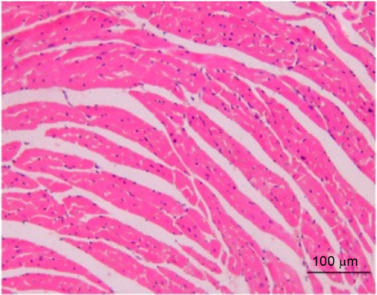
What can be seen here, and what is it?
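Heart muscle with pink myocardial fibers running in orderly, gently curving parallel bundles. Many small oval blue nuclei lie within the fibers, and narrow pale clefts separate the bundles.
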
